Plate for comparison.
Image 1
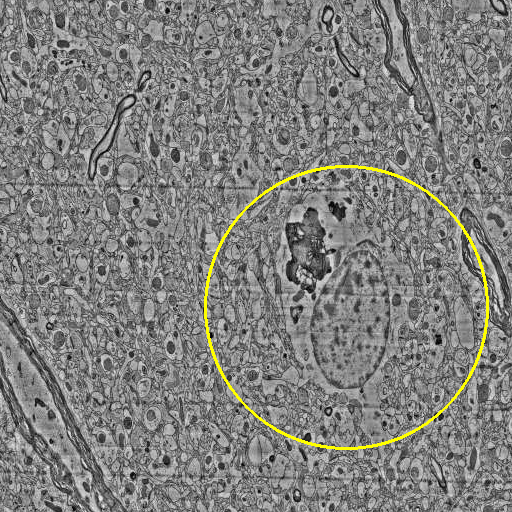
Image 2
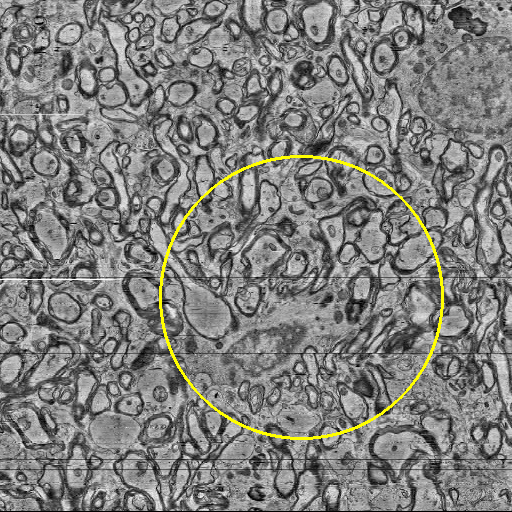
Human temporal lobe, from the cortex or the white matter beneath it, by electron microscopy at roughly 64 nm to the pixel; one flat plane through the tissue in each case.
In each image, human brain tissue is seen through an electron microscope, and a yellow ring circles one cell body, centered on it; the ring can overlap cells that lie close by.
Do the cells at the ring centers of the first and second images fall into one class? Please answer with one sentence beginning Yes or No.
No, the first and second images show two classes of cell at the ring centers.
